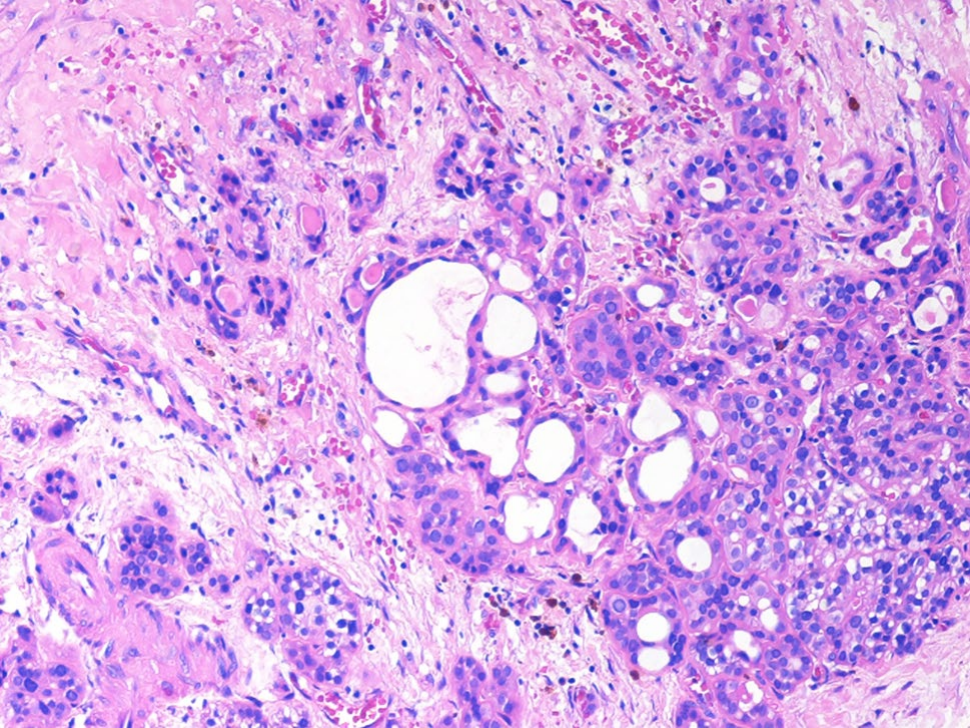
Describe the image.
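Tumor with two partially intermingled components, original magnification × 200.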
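Toward the lower right, the cells form solid nests and sheets. They are polygonal cells with round, dark, evenly sized nuclei and pale pink to clear, finely vacuolated cytoplasm. Through the middle and upper part, the cells line gland-like spaces. Some of these spaces are small. The stroma between the nests is loose. It carries many small, congested vessels packed with red blood cells and scattered brown pigment granules.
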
